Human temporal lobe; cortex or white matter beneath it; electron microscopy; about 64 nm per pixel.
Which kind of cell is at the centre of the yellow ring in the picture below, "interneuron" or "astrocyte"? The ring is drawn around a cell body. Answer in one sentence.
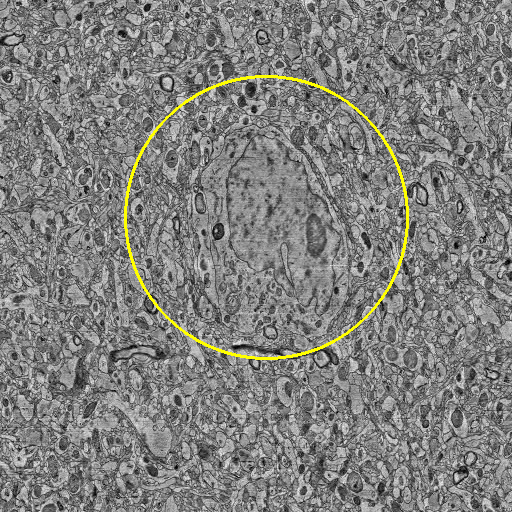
The ring's central cell is an interneuron.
